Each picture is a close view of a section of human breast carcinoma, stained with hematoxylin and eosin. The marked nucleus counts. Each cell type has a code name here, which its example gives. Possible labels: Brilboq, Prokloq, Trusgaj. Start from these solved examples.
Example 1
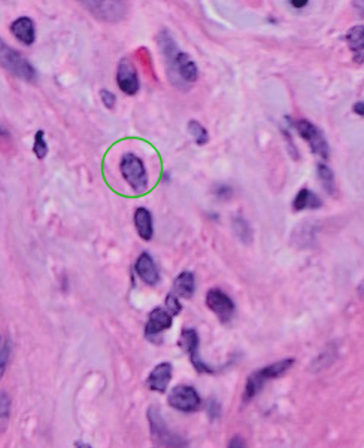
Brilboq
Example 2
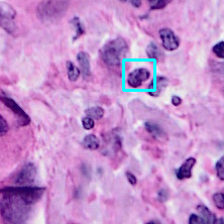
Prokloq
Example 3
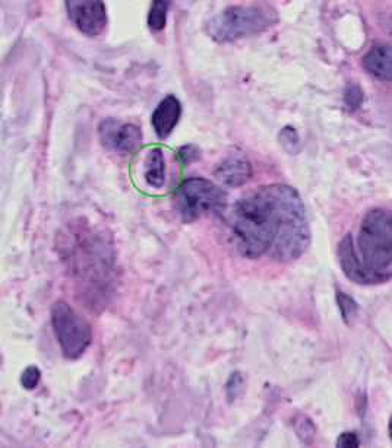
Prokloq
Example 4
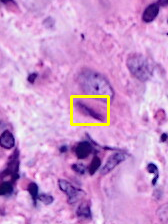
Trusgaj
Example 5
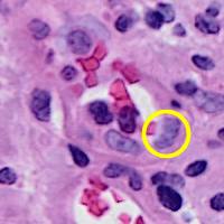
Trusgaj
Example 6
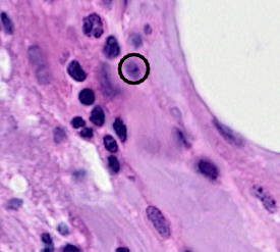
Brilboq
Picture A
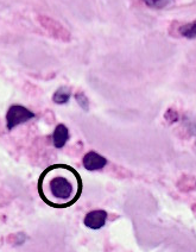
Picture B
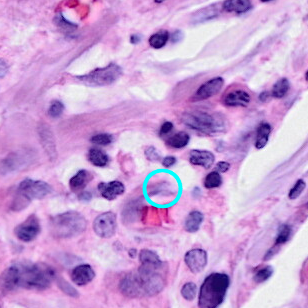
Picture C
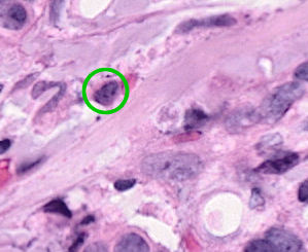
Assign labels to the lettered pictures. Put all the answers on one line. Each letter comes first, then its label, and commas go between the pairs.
A Prokloq, B Trusgaj, C Brilboq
